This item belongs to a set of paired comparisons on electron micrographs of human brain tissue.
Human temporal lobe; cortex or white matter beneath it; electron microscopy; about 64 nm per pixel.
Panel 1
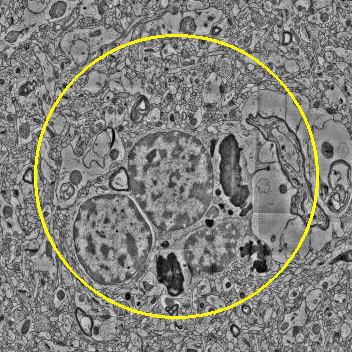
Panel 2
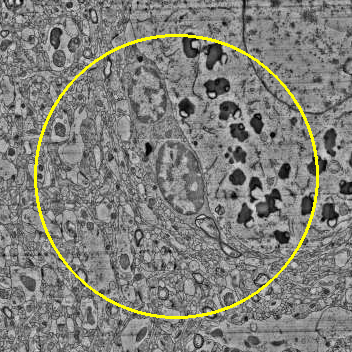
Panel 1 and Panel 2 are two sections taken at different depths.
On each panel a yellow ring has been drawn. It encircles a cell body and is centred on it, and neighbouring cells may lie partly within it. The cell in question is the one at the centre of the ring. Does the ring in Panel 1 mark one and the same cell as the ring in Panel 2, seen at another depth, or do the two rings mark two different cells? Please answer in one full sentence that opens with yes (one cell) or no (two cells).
No, the two yellow rings correspond to two separate cells.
